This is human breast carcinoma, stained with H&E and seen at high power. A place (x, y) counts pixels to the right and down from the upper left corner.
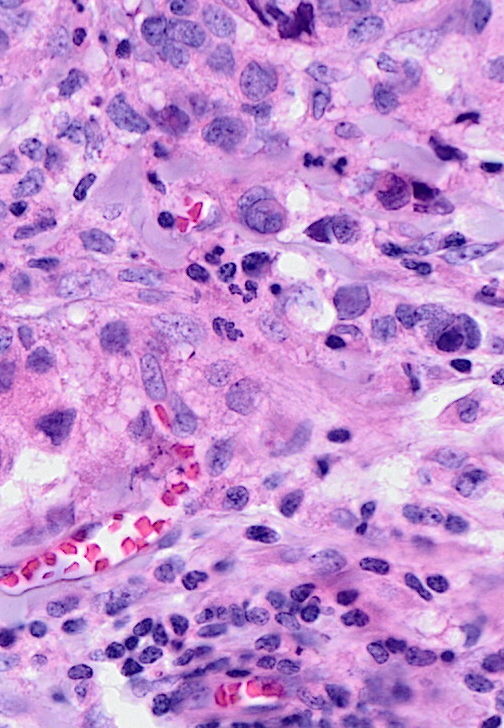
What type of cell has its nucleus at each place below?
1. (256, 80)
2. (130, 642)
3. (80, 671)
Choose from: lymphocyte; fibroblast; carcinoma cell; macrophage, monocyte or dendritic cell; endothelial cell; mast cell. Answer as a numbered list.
1. carcinoma cell
2. lymphocyte
3. lymphocyte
